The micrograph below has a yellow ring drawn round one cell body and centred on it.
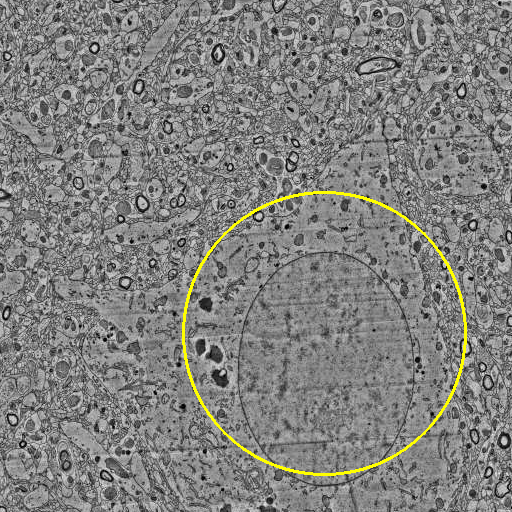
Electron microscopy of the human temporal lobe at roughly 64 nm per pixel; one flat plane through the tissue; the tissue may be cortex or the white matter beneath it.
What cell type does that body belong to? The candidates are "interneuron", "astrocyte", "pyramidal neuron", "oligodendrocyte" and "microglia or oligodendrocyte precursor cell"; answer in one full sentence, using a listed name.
This is a pyramidal neuron, the cell whose body lies at the centre of the ring.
